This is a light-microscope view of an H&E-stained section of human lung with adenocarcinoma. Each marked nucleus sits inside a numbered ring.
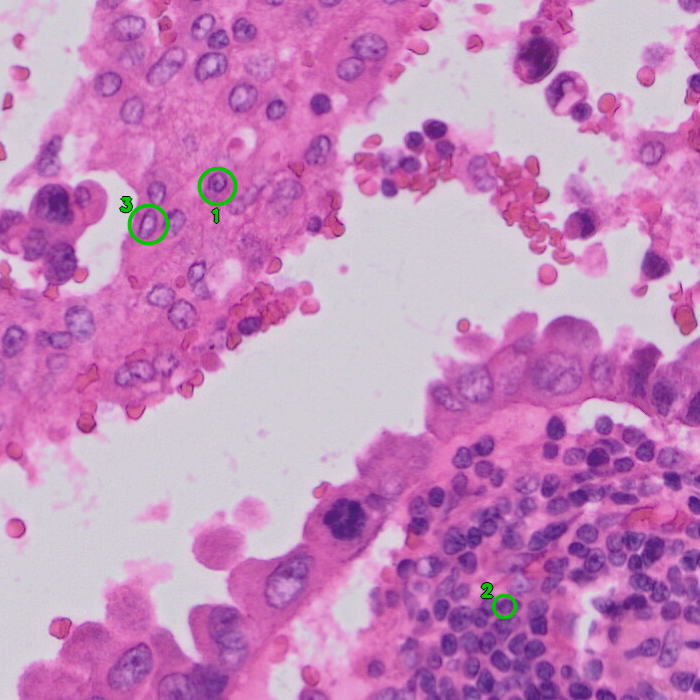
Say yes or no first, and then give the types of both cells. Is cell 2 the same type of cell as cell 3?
No, sorry to say, cell 2 is a lymphocyte and cell 3 is a macrophage or monocyte.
